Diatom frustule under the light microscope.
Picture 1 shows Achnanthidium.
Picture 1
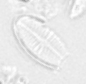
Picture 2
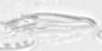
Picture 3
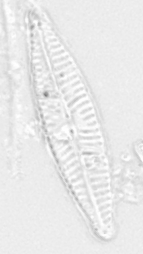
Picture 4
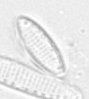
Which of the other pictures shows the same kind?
Picture 2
